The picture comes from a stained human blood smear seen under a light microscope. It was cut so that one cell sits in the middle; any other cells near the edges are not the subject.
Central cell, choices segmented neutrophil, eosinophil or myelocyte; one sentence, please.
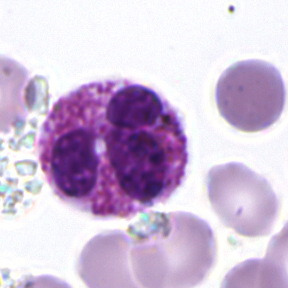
The cell featured at the centre of this crop is an eosinophil.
